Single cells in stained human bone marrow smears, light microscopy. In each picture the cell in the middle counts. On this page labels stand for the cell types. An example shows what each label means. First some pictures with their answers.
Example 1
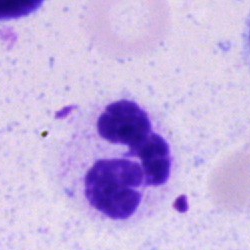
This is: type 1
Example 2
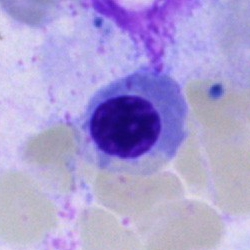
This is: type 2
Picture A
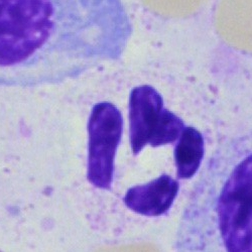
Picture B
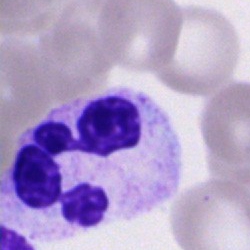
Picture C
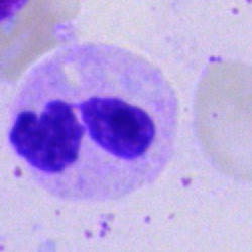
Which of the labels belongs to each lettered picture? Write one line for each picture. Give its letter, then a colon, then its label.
A: type 1
B: type 1
C: type 1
